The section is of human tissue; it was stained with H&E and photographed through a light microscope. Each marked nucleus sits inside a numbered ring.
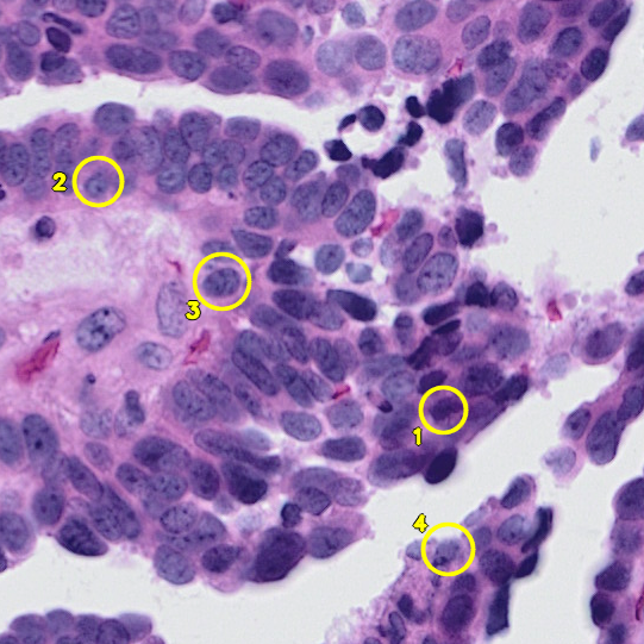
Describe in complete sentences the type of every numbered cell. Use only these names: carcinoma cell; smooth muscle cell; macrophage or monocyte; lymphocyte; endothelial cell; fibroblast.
Cells 1, 2 and 3 are carcinoma cells. Cell 4 is a macrophage or monocyte.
